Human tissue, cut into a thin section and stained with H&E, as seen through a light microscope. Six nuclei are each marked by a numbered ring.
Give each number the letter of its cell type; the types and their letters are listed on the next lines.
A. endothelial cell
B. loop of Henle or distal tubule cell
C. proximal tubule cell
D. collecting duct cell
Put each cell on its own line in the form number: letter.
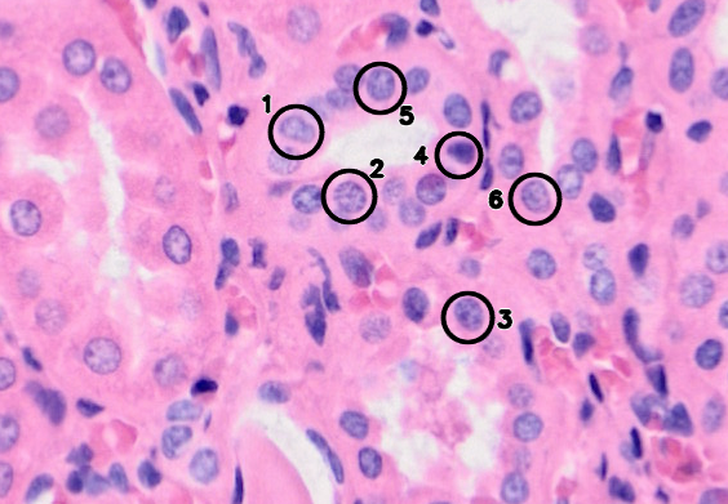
1: D
2: D
3: B
4: D
5: D
6: B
